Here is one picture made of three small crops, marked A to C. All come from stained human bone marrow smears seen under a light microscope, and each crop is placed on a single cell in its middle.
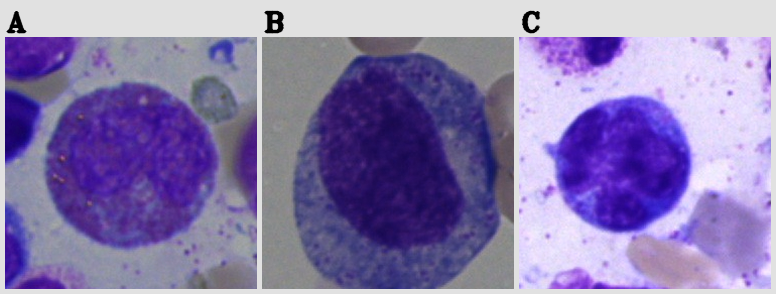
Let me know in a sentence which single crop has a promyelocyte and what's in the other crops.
In crop B the cell is a promyelocyte, whereas crop A is an eosinophil and crop C is a monocyte.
